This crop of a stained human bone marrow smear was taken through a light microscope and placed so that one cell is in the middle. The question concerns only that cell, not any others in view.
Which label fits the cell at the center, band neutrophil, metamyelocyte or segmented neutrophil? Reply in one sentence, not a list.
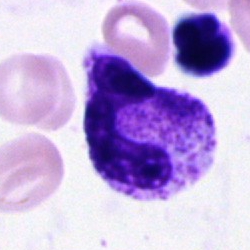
The middle of this crop holds a segmented neutrophil.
